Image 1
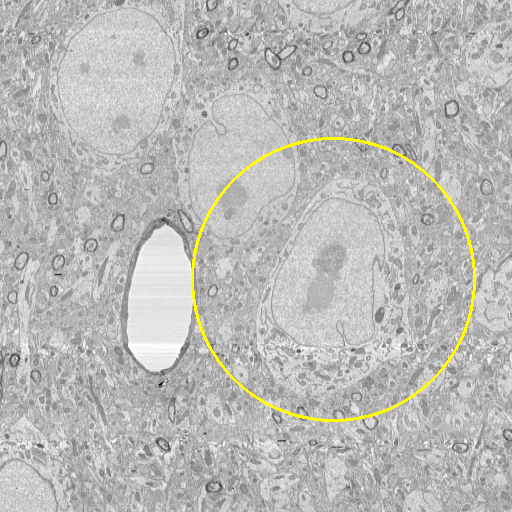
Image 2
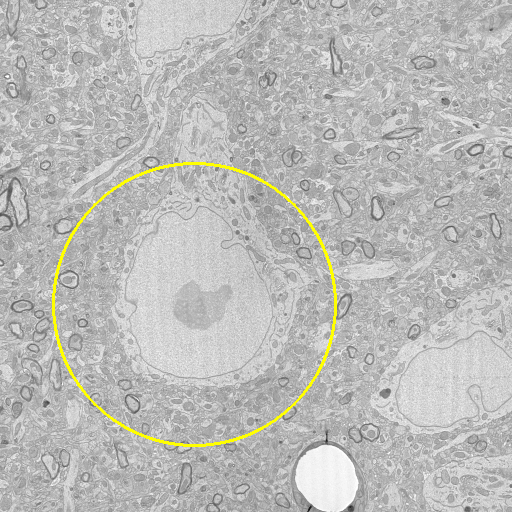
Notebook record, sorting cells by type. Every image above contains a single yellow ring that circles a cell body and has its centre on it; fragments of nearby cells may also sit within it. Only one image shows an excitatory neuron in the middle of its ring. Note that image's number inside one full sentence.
For image 2, the cell in the middle of its yellow ring is the match.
